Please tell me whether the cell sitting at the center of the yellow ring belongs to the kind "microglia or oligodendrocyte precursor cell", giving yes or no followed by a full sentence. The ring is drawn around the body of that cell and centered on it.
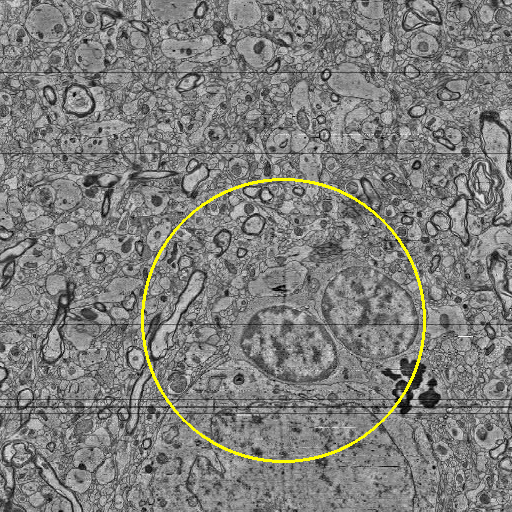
No, the cell at the center of the ring in the picture is of another kind.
